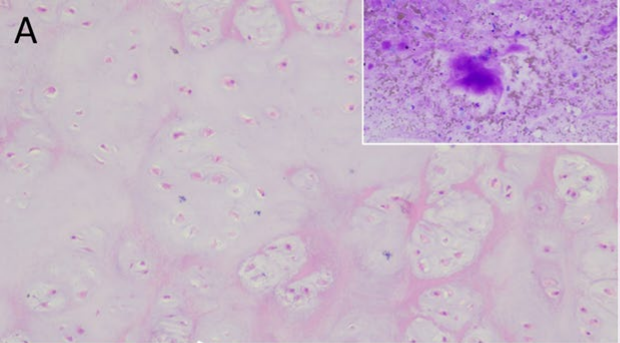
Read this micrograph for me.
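Rounded cells sit singly or in small clusters within clear lacunae, embedded in an abundant pale, glassy, slightly bluish-pink matrix. The clusters are separated by thin pinker matrix bands, each holding several cells that look like they derived from one parent. These are chondrocytes in isogenous groups within mature hyaline cartilage.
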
